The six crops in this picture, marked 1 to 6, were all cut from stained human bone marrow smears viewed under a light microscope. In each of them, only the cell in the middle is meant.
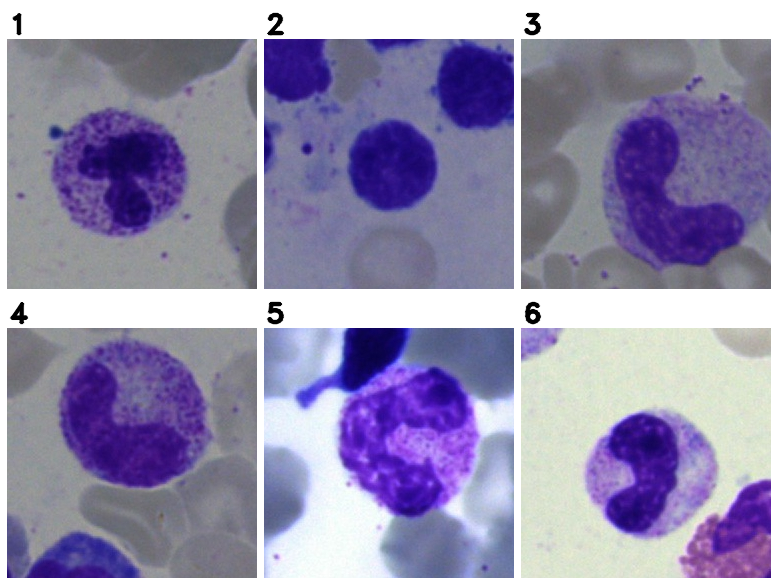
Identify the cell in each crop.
1: segmented neutrophil
2: lymphocyte
3: band neutrophil
4: band neutrophil
5: band neutrophil
6: band neutrophil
